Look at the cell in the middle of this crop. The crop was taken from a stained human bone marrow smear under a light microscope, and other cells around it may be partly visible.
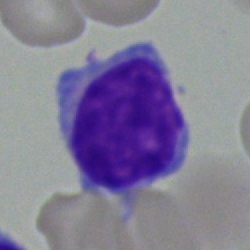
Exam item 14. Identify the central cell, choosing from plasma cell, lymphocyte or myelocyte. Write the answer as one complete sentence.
The cell shown in the center of this light-microscope crop is a lymphocyte.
